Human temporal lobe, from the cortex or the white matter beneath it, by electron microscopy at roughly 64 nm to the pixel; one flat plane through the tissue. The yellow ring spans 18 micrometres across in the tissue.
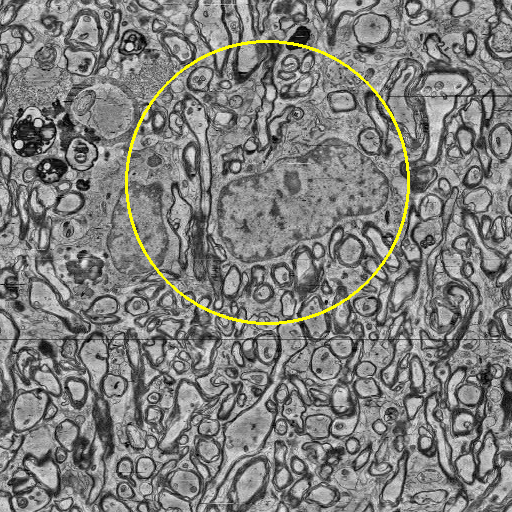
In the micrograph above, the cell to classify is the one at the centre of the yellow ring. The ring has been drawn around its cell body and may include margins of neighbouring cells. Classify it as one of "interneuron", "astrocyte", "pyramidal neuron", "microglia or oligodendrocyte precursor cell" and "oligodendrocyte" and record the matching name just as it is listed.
microglia or oligodendrocyte precursor cell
